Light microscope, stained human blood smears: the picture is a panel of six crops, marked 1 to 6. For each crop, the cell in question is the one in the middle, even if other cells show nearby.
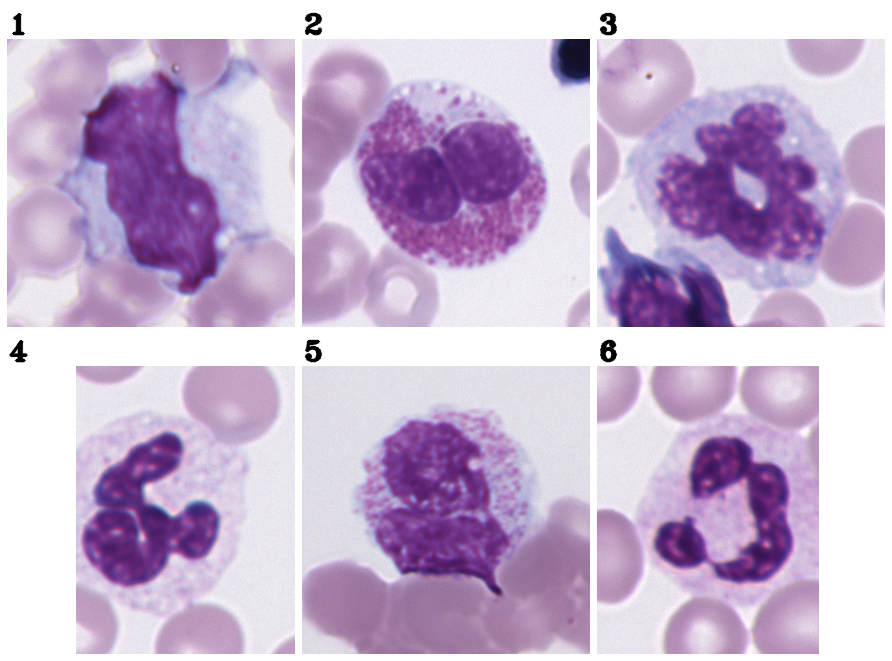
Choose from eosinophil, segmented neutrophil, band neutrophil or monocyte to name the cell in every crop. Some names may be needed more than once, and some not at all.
1: monocyte
2: eosinophil
3: monocyte
4: segmented neutrophil
5: band neutrophil
6: segmented neutrophil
